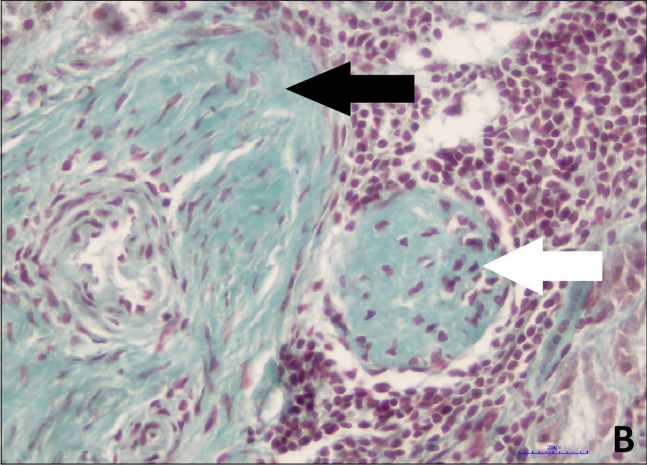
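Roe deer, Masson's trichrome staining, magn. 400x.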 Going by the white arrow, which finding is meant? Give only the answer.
glomerular sclerosis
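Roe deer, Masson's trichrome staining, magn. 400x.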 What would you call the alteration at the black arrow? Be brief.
Perivascular connective tissue hyperplasia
